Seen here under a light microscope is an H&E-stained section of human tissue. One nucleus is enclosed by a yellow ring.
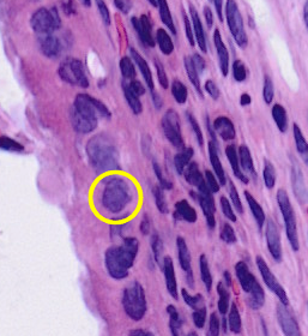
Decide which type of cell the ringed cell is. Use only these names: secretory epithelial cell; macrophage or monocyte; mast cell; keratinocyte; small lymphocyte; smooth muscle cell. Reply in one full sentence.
To be brief about it, the ringed cell is a secretory epithelial cell.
